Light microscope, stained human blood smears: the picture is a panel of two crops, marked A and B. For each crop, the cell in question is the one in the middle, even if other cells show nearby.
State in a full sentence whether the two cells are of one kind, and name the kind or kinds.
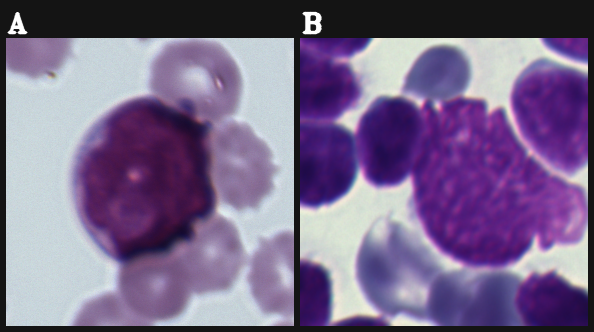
No, crop A captures a myeloblast; meanwhile crop B captures a smudge cell.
